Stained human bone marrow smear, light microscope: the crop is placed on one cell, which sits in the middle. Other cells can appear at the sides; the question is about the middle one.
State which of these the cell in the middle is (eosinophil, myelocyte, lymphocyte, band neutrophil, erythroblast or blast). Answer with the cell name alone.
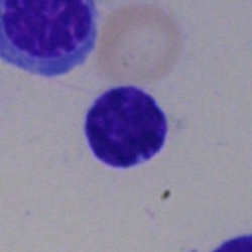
lymphocyte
